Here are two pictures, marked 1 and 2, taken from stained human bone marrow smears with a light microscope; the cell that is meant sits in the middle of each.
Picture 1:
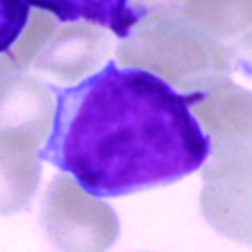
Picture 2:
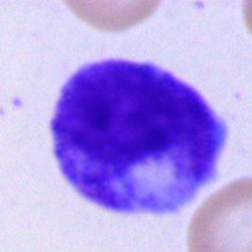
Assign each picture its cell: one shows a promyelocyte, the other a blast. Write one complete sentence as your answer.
It is picture 1 that shows a blast, and picture 2 that shows a promyelocyte.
